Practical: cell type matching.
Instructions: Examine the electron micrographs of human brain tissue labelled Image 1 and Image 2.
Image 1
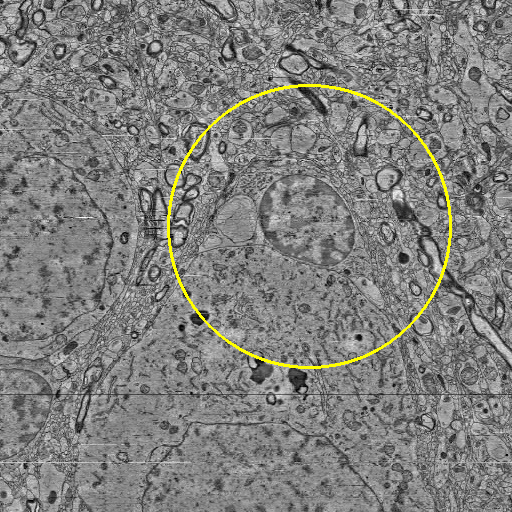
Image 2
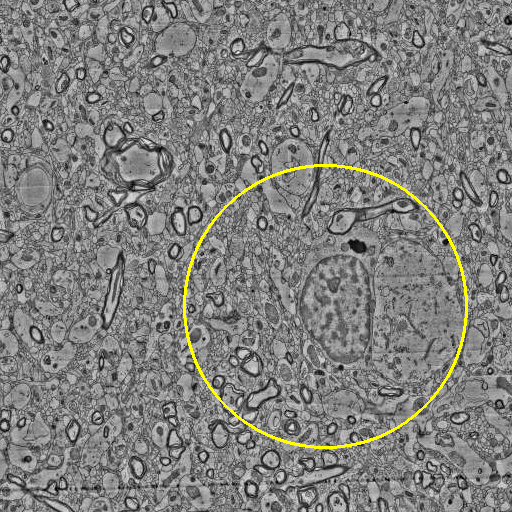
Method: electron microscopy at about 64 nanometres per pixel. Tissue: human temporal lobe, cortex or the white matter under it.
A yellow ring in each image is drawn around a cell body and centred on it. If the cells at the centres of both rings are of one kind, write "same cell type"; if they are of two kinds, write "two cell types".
two cell types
